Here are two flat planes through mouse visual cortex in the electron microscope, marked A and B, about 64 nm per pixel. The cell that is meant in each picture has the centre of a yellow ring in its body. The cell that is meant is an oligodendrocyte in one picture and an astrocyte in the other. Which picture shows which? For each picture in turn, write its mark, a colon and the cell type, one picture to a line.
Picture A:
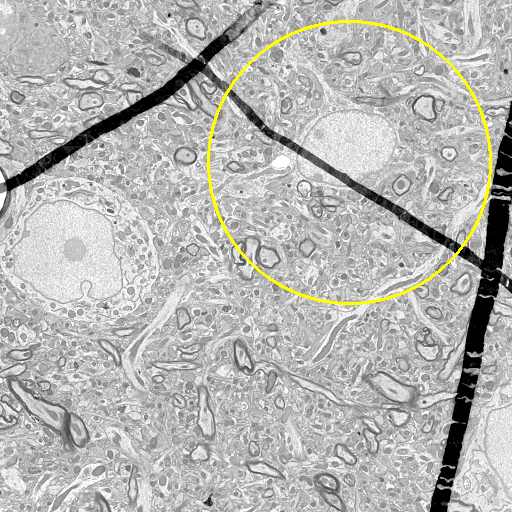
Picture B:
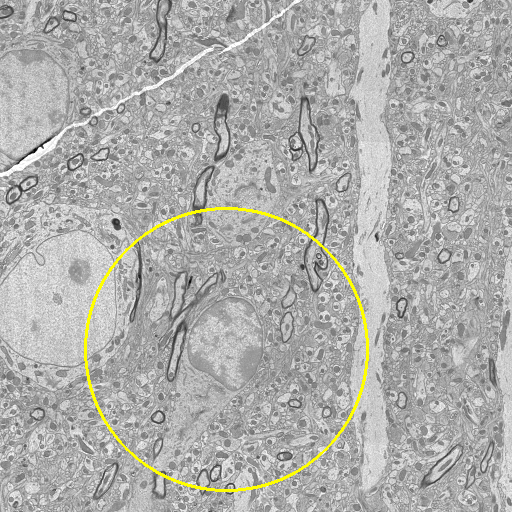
A: astrocyte
B: oligodendrocyte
